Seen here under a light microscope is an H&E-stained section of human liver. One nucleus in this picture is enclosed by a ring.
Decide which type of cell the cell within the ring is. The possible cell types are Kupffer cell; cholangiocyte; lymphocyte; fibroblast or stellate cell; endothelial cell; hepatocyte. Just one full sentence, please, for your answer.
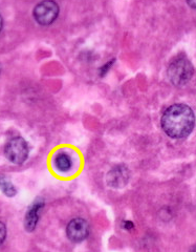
At the level of cell identity, the cell within the ring is a lymphocyte.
